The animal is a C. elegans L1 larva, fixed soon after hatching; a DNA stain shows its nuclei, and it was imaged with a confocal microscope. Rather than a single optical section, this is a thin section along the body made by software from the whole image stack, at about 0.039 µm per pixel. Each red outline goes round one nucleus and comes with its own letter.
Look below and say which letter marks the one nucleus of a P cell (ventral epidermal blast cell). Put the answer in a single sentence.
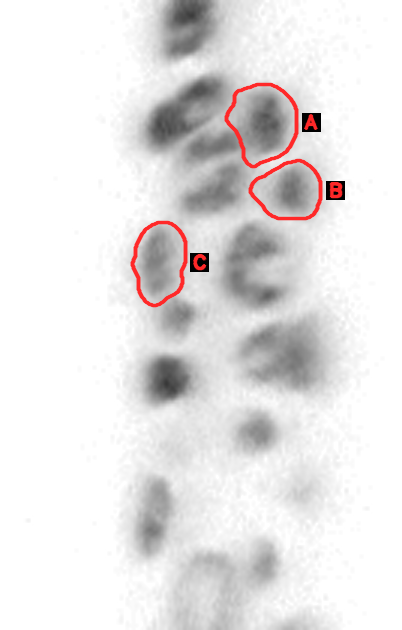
It is C that belongs to a P cell (ventral epidermal blast cell).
